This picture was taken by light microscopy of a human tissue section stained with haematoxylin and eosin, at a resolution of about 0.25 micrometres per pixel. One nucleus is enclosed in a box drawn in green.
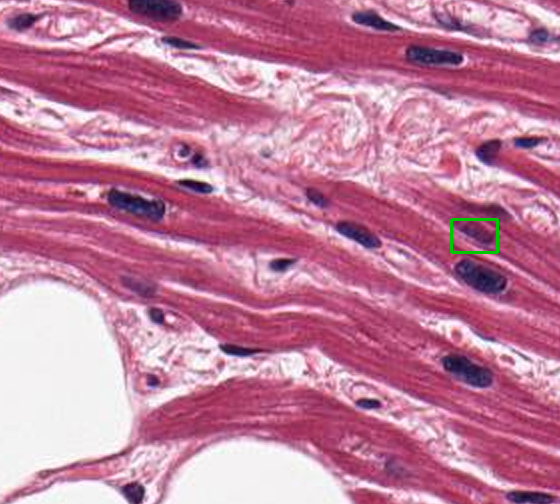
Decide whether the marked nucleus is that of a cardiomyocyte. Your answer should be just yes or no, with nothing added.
yes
